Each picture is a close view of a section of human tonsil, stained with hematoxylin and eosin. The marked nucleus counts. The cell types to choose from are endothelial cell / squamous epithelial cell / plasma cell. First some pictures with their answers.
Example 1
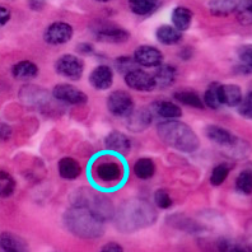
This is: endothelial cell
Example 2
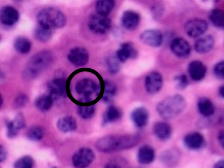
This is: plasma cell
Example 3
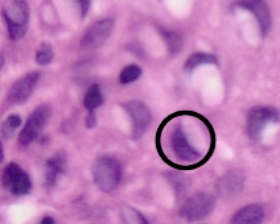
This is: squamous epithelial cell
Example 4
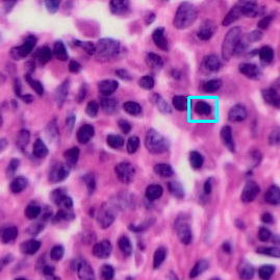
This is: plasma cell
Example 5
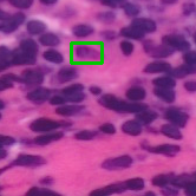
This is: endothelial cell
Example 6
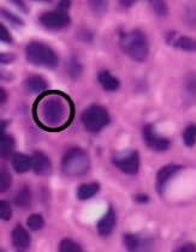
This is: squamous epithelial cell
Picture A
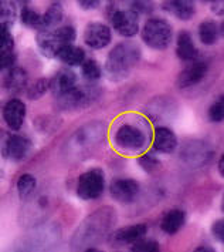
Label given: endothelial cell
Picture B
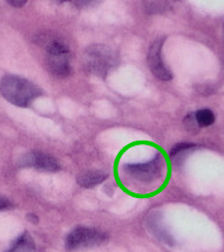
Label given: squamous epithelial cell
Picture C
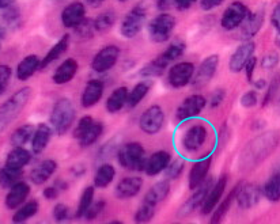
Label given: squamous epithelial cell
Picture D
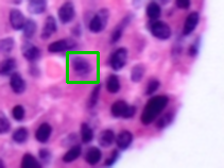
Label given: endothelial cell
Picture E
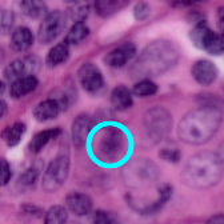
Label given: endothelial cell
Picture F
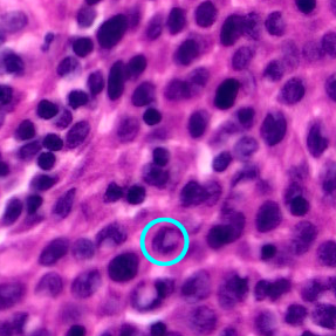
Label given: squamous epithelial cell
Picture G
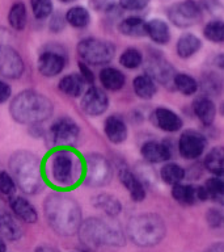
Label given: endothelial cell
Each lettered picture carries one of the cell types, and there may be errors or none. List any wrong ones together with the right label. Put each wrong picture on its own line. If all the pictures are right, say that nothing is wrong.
C is labelled squamous epithelial cell; correct label: plasma cell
